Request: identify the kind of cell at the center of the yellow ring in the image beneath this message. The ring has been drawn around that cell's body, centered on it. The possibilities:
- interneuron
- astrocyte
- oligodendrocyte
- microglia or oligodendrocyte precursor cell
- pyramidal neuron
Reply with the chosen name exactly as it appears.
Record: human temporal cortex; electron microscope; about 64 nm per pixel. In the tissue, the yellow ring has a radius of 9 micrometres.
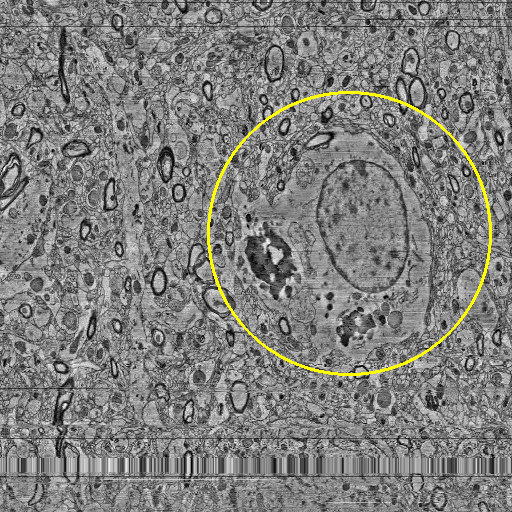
astrocyte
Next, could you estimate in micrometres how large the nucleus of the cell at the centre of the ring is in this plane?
About 9 by 6 micrometers; the nucleus is clearly longer than it is wide in this plane.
